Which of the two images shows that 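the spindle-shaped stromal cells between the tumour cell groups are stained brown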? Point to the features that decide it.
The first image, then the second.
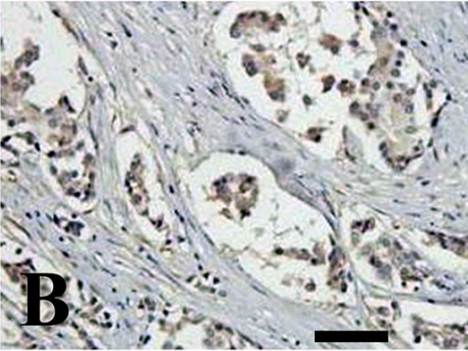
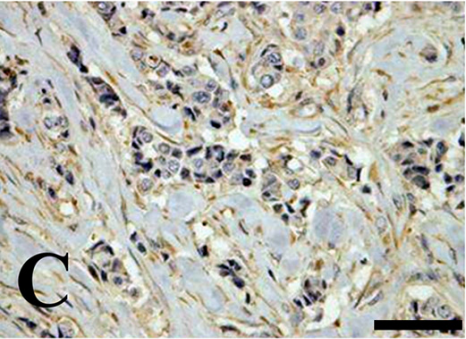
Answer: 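Second image: elongated cells in the fibrous tissue carry brown stain. First image: the fibrous tissue cells are blue-grey, while the clustered cells in the spaces are brown.
Conclusion: the second image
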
